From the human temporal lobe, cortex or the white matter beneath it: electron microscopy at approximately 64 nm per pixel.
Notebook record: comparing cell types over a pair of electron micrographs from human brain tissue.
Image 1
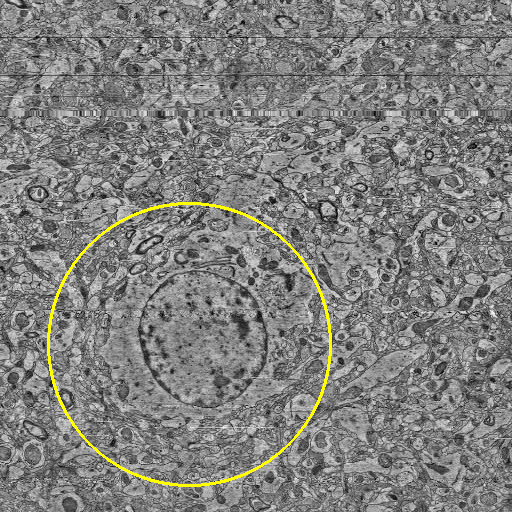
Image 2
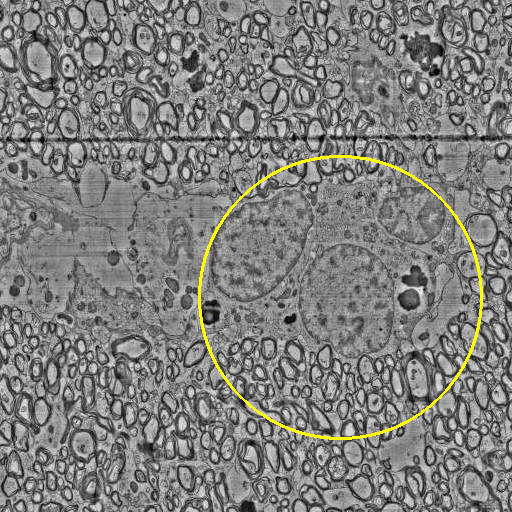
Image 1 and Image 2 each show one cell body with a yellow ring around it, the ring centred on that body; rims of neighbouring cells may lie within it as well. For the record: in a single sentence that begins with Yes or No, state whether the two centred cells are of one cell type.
No, two cell types are found among the centred cells of Image 1 and Image 2.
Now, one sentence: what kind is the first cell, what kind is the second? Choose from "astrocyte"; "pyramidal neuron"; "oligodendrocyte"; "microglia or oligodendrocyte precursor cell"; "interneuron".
The first picture has an astrocyte at its ring centre, and the second has an oligodendrocyte.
